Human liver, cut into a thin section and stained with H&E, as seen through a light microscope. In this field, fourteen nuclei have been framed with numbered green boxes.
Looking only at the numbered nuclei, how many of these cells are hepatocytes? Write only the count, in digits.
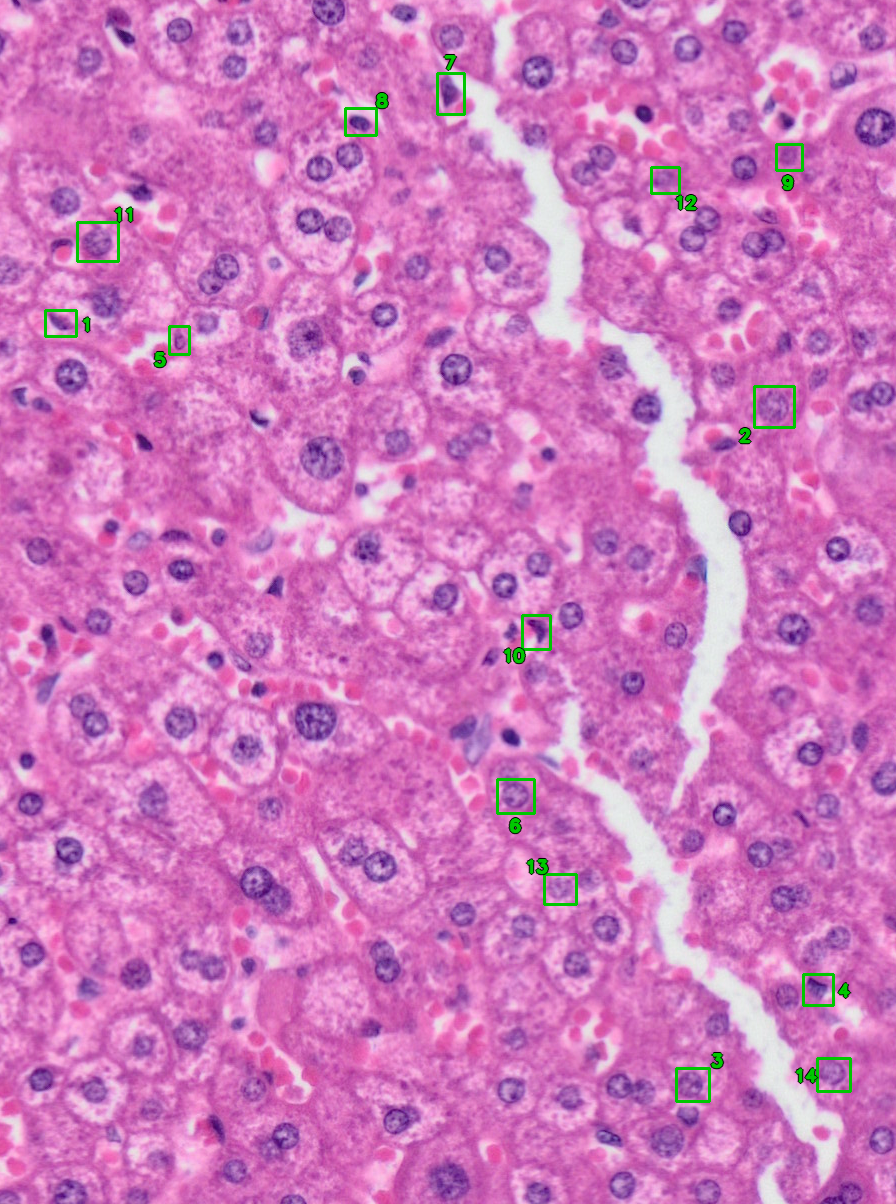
8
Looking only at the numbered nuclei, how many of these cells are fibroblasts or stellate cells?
1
